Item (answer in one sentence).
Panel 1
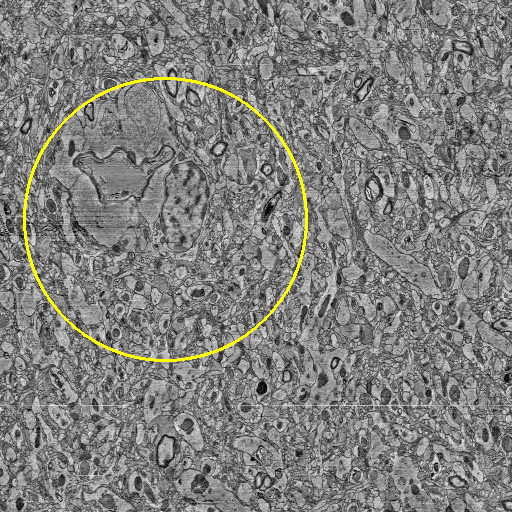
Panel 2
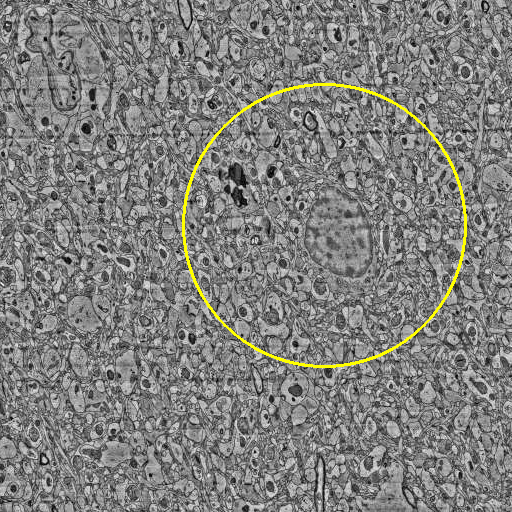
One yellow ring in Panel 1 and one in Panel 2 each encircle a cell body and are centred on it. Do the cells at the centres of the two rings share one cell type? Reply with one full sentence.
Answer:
No, Panel 1 and Panel 2 show cells of two types at the centres of their rings.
